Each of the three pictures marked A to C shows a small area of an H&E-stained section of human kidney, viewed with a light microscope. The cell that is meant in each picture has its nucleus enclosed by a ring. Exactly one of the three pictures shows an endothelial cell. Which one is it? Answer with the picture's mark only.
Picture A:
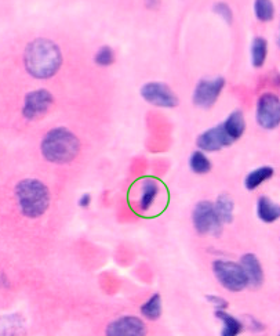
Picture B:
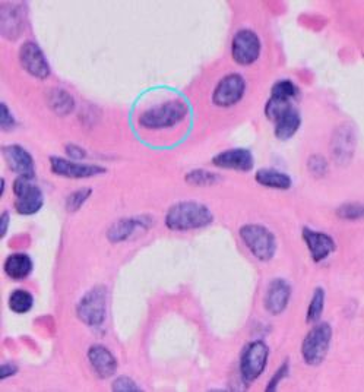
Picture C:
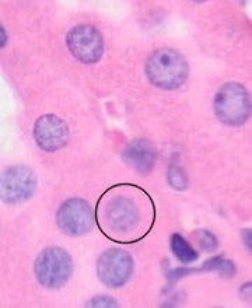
A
